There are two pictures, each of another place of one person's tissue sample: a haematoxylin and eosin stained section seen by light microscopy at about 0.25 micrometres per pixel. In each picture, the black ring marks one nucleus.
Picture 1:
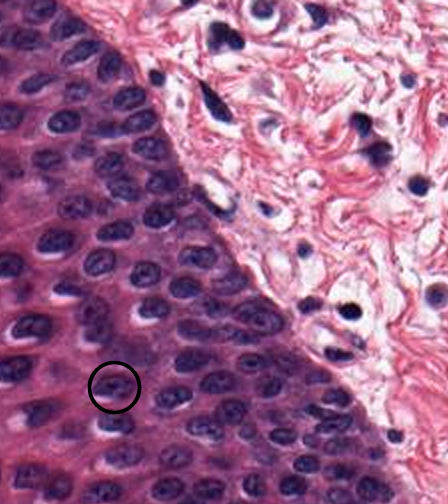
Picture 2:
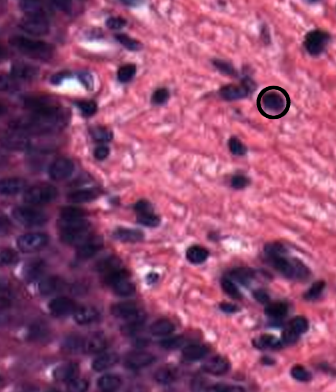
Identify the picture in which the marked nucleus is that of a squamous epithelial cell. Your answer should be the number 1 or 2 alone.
1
